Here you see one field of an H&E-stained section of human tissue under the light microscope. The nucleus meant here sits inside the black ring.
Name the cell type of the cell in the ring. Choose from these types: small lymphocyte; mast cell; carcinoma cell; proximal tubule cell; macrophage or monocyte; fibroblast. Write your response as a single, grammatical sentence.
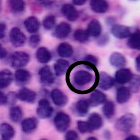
Considered by cell type, the cell in the ring is a small lymphocyte.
